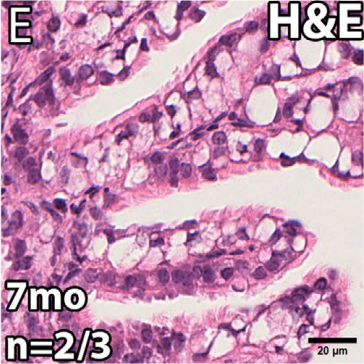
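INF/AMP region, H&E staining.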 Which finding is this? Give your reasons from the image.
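Exaggerated/large, empty cytoplasmic vacuoles. Many epithelial cells contain large clear round spaces in the cytoplasm. The clear spaces contain no stained material.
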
